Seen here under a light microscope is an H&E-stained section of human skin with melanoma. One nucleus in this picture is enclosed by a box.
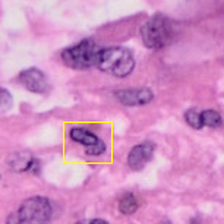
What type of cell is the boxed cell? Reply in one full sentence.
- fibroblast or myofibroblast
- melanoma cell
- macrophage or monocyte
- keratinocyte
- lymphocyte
Recorded by type, the boxed cell is a macrophage or monocyte.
